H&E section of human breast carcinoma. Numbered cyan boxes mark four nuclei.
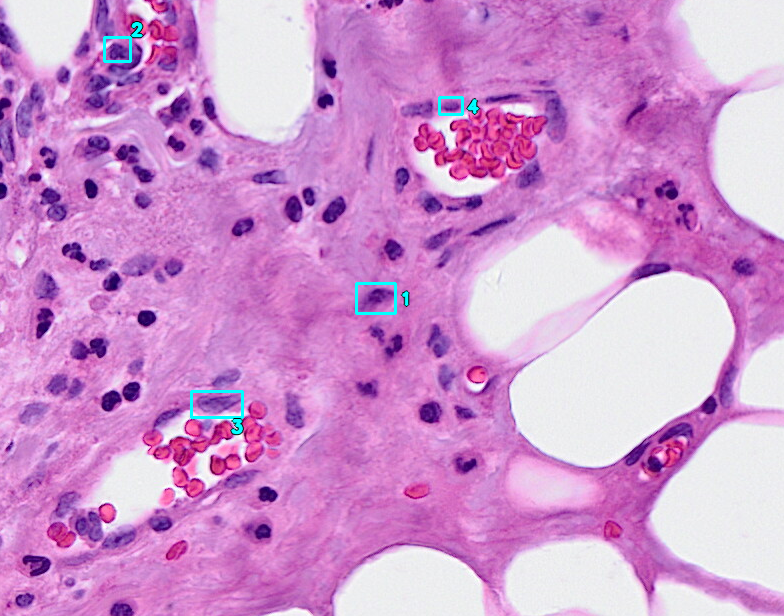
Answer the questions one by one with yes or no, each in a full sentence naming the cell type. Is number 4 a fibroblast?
No, the cell given number 4 is an endothelial cell, as opposed to a fibroblast.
